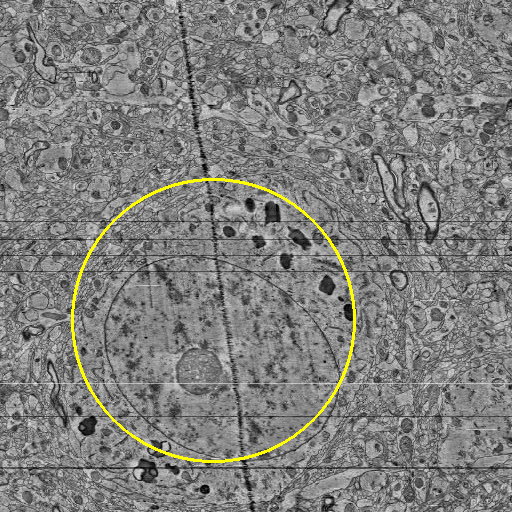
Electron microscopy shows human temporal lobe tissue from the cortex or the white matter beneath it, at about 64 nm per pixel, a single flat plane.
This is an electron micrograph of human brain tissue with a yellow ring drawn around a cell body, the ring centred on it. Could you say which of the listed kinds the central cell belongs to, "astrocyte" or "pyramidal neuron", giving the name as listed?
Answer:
pyramidal neuron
